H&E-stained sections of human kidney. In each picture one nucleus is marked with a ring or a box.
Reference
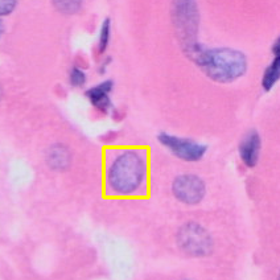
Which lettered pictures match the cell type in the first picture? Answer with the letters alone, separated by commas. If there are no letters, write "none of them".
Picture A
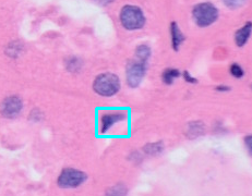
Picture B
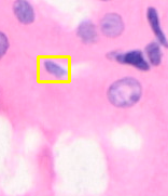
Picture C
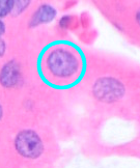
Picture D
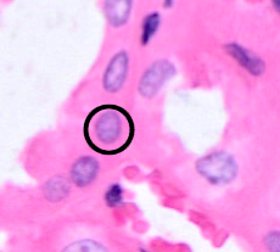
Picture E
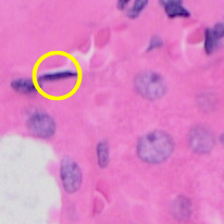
C, D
